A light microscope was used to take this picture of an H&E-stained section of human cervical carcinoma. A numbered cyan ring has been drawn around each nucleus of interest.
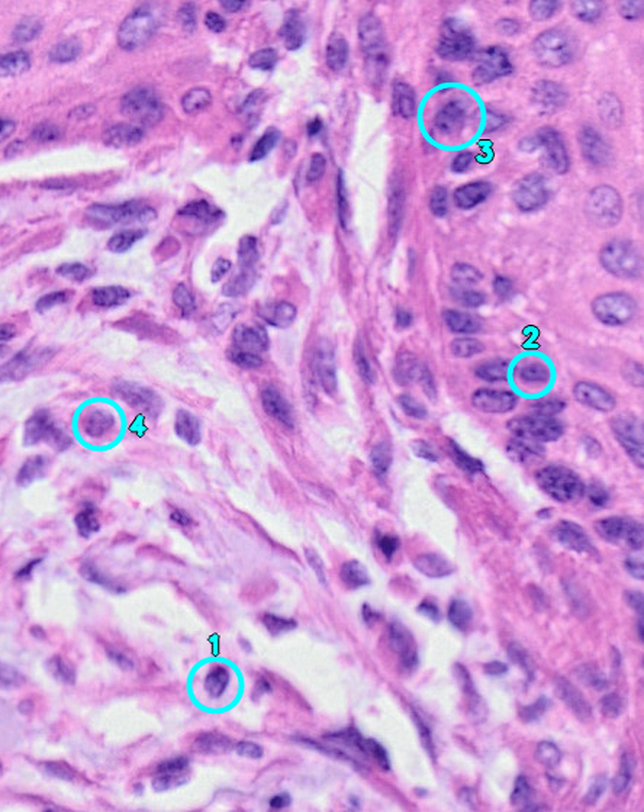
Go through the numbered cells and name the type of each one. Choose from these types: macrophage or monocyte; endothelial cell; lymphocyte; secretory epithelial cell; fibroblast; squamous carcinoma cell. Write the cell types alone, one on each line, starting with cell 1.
lymphocyte
squamous carcinoma cell
squamous carcinoma cell
macrophage or monocyte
